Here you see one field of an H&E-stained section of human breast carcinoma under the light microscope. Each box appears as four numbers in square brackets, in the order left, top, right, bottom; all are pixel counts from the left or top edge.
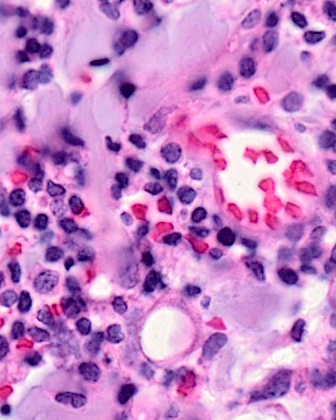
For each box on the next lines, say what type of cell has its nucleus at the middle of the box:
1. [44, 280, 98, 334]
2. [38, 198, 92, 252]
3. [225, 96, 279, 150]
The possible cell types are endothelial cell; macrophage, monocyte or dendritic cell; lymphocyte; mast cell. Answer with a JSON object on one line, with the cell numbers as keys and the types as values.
{"1": "lymphocyte", "2": "lymphocyte", "3": "endothelial cell"}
